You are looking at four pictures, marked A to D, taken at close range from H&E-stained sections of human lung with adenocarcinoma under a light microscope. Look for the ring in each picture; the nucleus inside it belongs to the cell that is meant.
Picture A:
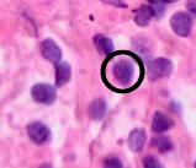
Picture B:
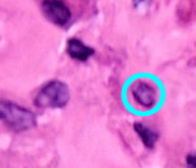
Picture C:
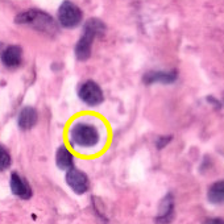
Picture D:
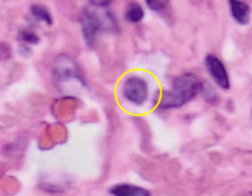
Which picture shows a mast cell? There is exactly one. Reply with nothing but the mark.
B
